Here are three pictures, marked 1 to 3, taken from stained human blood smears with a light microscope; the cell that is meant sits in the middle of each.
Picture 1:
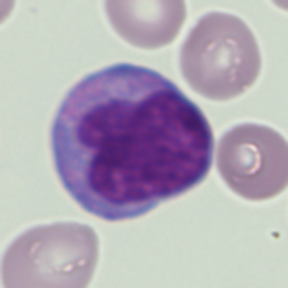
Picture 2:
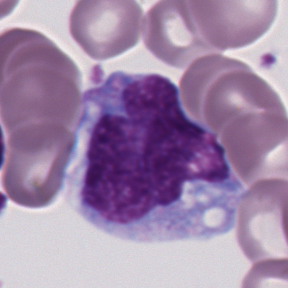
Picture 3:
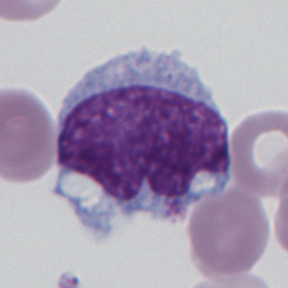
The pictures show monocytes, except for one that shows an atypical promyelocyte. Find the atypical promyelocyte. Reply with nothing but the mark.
1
